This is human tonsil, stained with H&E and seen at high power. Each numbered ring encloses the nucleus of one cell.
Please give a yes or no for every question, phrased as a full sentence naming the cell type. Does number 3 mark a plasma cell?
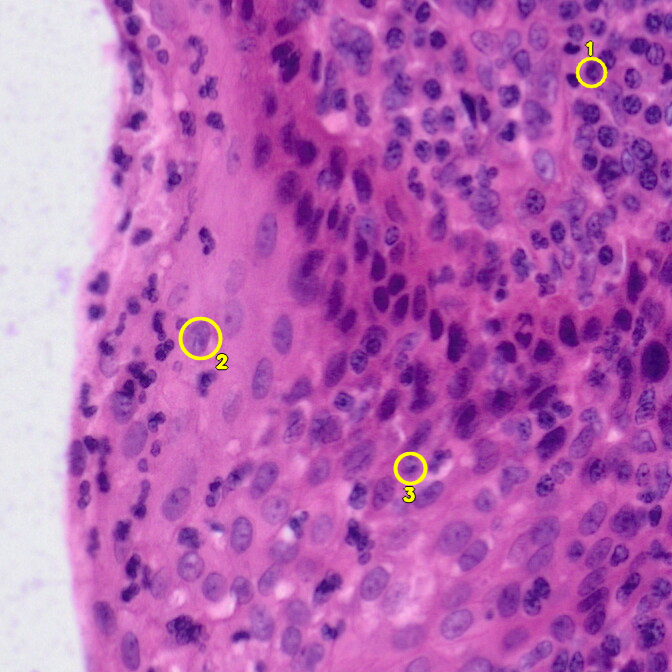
No, cell 3 is correctly identified as a squamous epithelial cell and not as a plasma cell.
